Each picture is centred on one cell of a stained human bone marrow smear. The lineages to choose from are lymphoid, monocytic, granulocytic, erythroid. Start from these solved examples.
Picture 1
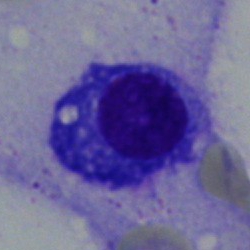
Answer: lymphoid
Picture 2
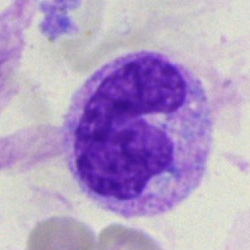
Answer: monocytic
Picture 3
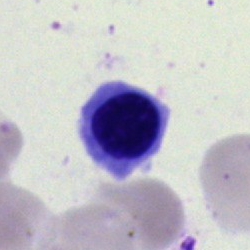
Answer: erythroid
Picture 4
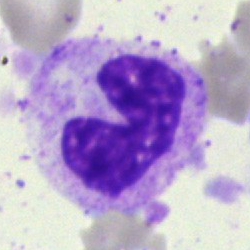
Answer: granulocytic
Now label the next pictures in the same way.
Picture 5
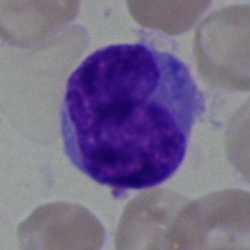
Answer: monocytic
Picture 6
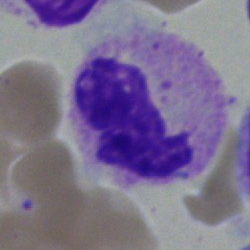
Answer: granulocytic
